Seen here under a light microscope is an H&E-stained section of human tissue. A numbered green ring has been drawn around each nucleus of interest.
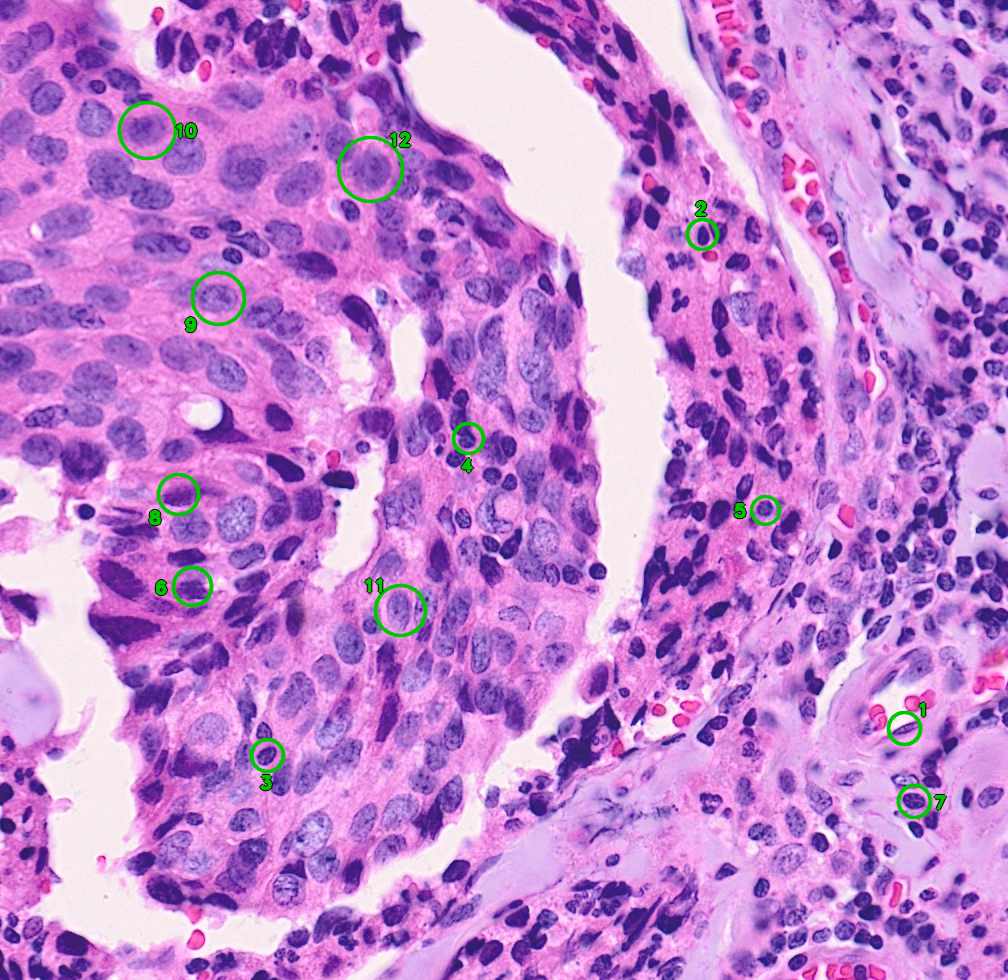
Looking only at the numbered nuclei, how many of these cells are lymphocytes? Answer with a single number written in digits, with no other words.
5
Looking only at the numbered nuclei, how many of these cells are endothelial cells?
1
